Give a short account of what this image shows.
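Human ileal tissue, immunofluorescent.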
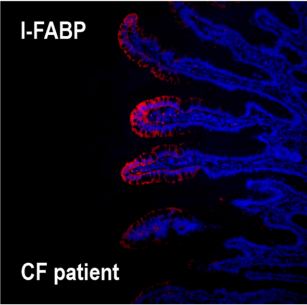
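Small intestinal mucosa with many closely set, finger-like villi covered by a single layer of columnar absorptive enterocytes with blue nuclei. Bright red fills the enterocytes at and near the tips of the villi, while the epithelium further down the villi and the cellular cores show only blue nuclei.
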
